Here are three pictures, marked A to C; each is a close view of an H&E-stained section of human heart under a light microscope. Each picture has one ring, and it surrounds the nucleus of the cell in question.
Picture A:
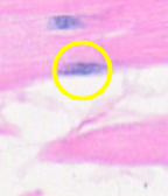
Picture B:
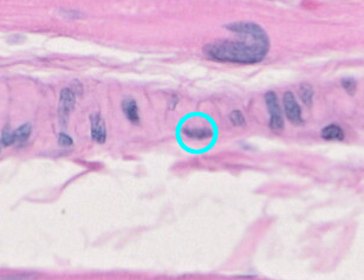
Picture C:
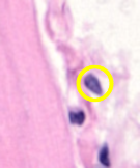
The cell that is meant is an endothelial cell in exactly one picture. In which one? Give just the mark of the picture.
A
